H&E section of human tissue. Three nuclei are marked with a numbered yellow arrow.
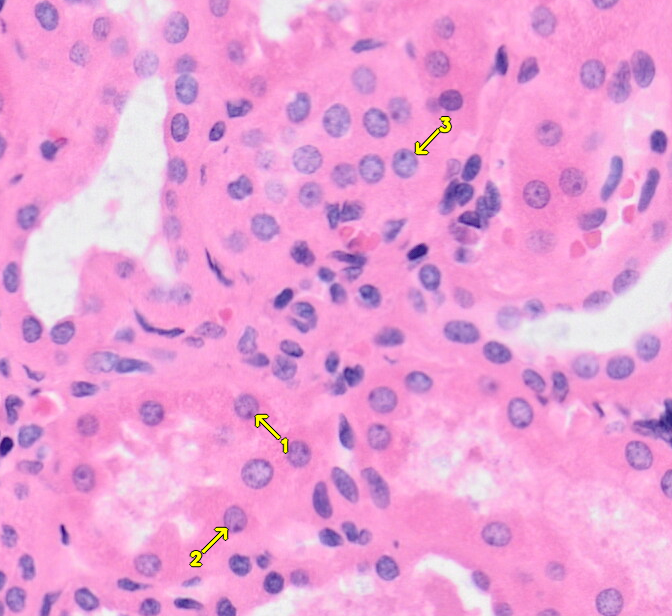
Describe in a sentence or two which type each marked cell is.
Cell 1 is a proximal tubule cell, cell 2 is a proximal tubule cell and cell 3 is a loop of Henle or distal tubule cell.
